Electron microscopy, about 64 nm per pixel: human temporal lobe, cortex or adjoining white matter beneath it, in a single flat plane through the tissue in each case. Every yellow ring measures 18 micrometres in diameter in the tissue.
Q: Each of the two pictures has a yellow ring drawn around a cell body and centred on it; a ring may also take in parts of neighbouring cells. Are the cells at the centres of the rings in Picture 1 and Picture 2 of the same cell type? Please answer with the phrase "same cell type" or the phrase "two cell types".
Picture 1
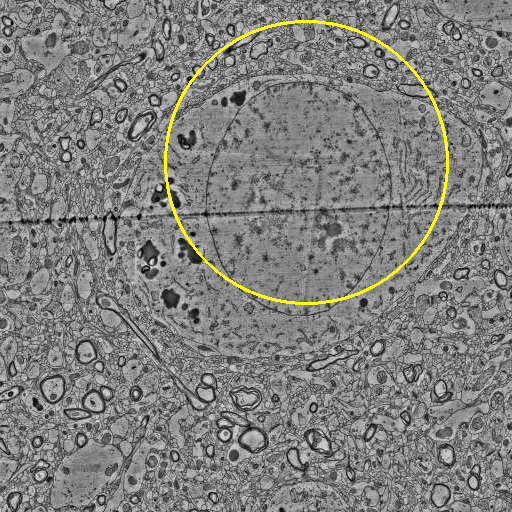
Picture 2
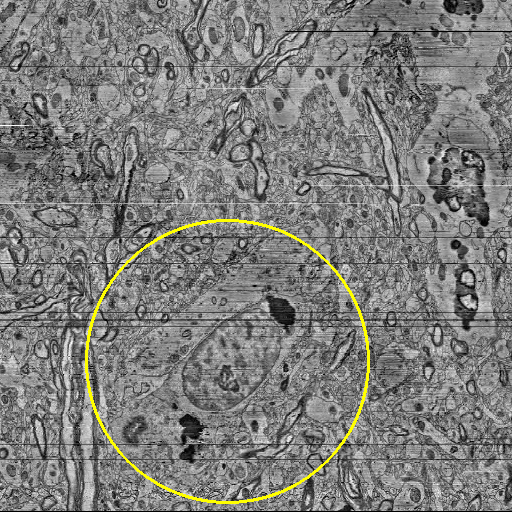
two cell types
